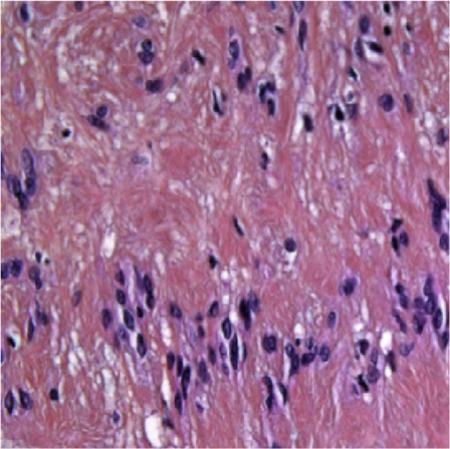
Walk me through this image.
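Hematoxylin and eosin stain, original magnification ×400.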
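This is a schwannoma with an Antoni A appearance. It is a compact tumor of spindle cells. The dark purple nuclei are oval to elongated and lie in loose, somewhat wavy streams within a dense pink fibrillary matrix. Cell borders cannot be made out, and small clear spaces are scattered through the tissue.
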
